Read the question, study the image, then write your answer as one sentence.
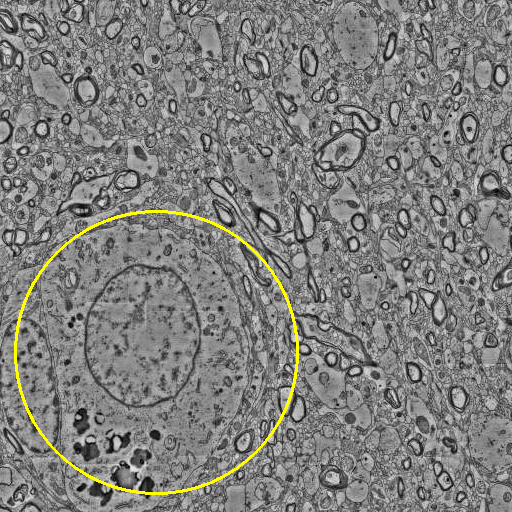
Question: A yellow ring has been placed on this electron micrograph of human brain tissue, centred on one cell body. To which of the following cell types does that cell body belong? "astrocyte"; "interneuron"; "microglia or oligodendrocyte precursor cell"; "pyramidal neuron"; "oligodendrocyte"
That cell body belongs to a pyramidal neuron.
